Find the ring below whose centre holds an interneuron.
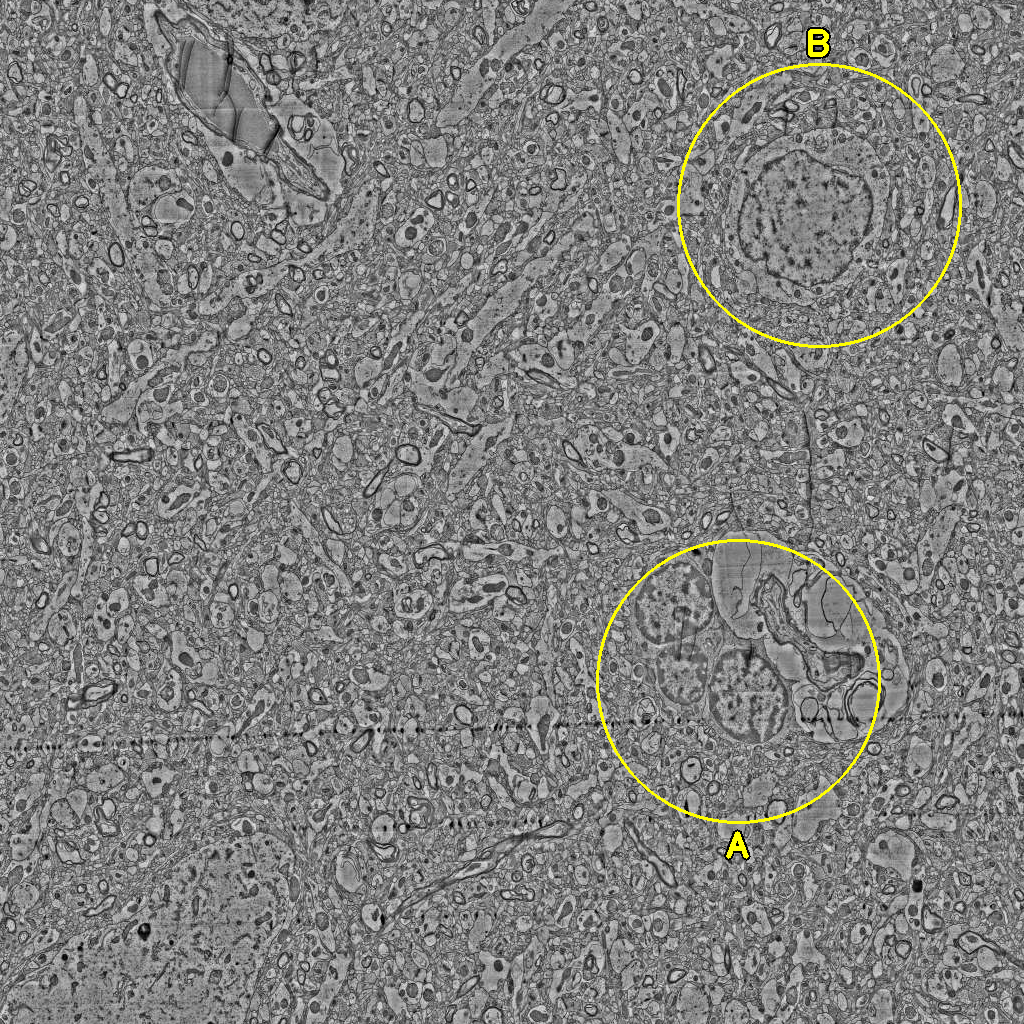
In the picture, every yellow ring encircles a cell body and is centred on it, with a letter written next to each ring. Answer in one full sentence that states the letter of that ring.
The ring centred on the cell asked for in the picture carries the letter B.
